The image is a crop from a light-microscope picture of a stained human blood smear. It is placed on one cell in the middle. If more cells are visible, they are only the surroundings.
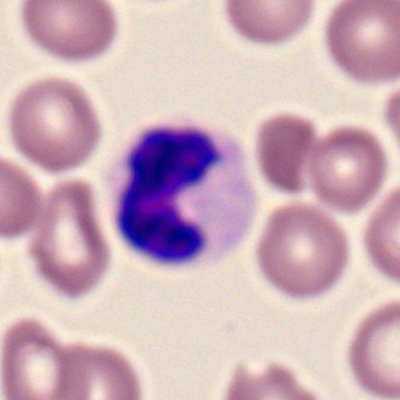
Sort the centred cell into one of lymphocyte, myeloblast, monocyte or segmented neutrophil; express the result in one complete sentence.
The cell centered in this field of view is a segmented neutrophil.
